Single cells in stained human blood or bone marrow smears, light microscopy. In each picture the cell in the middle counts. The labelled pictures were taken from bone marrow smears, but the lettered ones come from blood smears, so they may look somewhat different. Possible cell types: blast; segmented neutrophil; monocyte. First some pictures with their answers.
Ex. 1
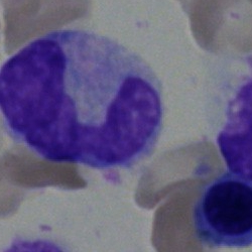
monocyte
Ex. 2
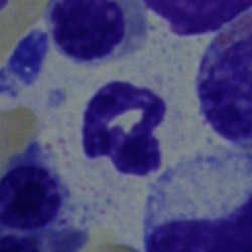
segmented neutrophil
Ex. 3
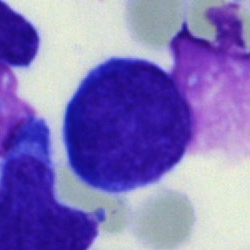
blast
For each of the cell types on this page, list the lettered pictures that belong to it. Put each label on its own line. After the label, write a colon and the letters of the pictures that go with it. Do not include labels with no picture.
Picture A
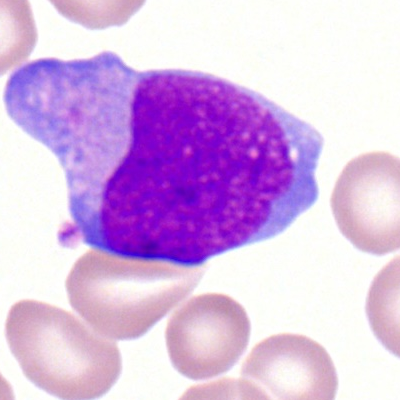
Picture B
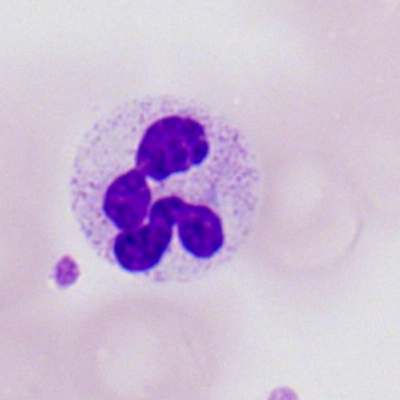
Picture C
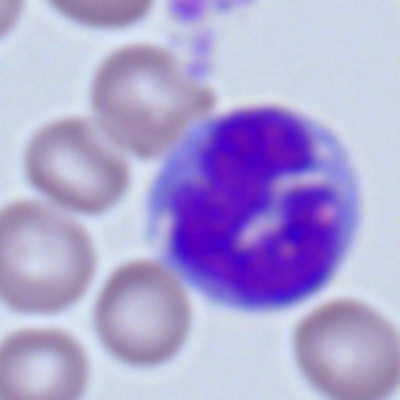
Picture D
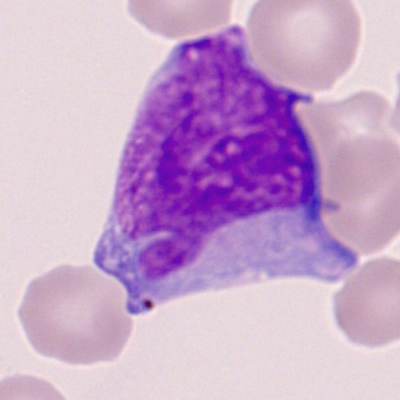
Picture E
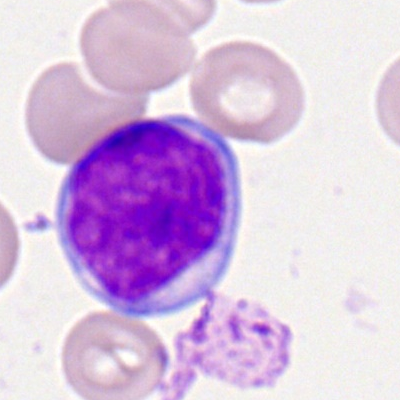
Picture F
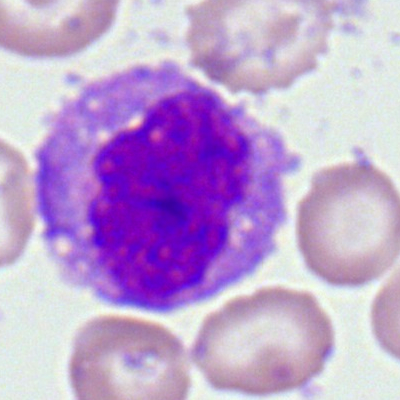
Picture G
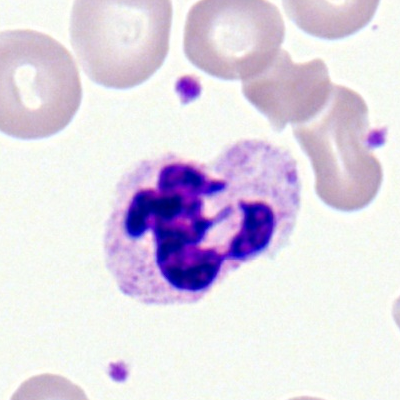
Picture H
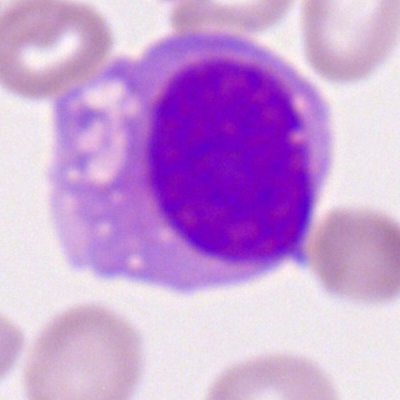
blast: A, D, E
segmented neutrophil: B, G
monocyte: C, F, H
